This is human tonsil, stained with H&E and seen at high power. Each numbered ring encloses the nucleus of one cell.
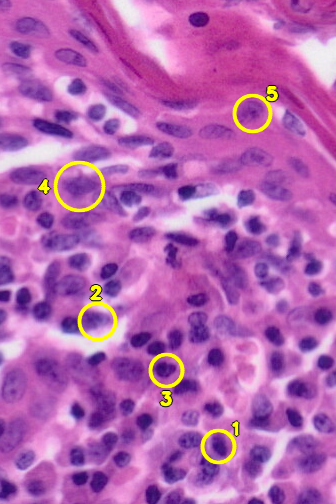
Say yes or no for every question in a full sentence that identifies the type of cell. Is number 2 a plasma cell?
No, the cell with number 2 is not a plasma cell but a squamous epithelial cell.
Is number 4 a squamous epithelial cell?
Yes, the cell at number 4 is a squamous epithelial cell.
